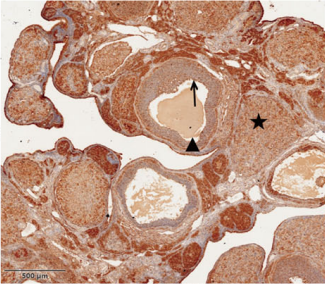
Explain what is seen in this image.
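This is a section of ovary showing several follicles and corpora lutea at low magnification. Large solid round bodies of brown-stained cells, with no cavity, are corpora lutea; they fill much of the section. In the middle lies a follicle with a large pale cavity filled with homogeneous fluid, ringed by a layer of granulosa cells that stain lighter brown, and outside that a thin rim of surrounding tissue. Smaller round follicles lie around it. Between these structures runs looser, paler stroma with some bluish tint.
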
